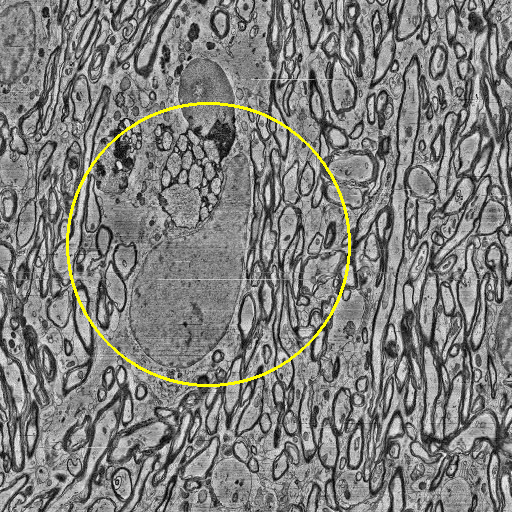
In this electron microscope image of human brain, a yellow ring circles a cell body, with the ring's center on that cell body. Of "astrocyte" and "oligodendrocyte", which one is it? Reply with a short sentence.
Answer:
It is an astrocyte at the center of the ring.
